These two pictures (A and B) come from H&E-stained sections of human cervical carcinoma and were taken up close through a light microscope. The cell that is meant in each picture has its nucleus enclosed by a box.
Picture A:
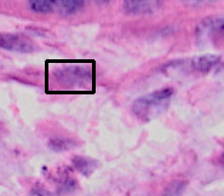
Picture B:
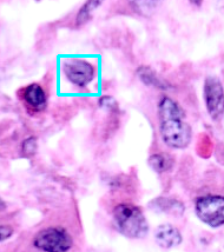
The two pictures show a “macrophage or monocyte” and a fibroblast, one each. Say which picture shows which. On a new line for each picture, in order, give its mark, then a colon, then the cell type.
A: fibroblast
B: macrophage or monocyte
